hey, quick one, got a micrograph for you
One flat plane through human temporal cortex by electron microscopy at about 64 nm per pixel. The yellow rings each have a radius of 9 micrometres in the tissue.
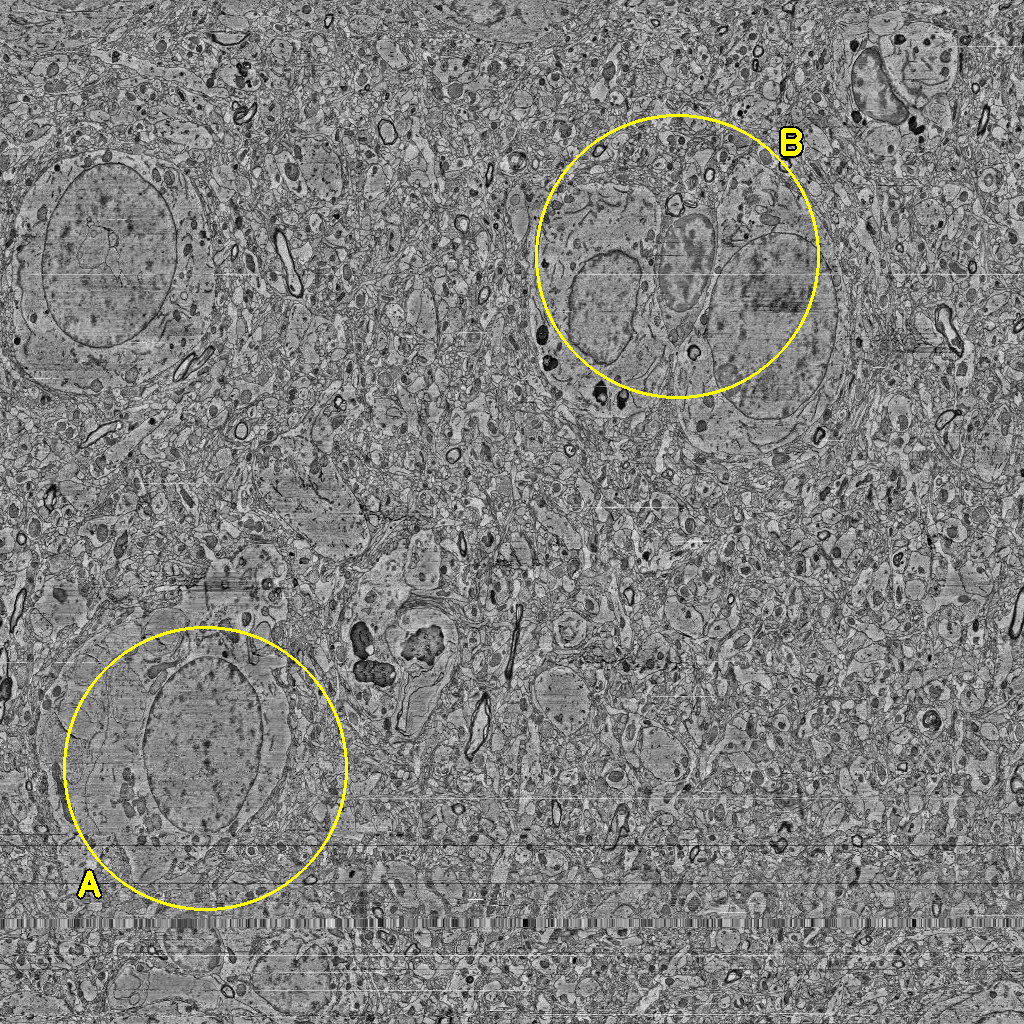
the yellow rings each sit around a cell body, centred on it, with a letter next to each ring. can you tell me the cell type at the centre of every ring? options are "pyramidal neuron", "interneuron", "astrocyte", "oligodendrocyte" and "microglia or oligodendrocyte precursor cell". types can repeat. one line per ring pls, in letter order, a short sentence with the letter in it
Ring A goes around an astrocyte.
Ring B goes around an oligodendrocyte.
